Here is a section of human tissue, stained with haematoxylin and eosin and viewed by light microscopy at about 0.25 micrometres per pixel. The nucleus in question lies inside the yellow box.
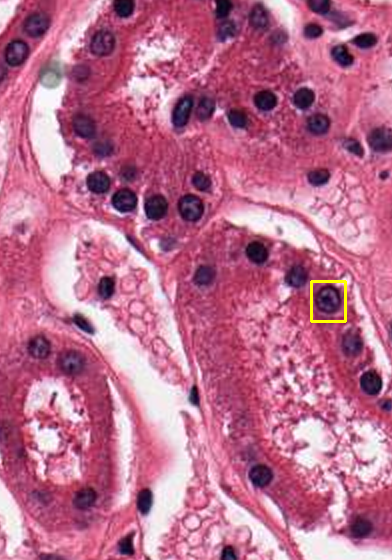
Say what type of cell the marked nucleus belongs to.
proximal tubule cell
